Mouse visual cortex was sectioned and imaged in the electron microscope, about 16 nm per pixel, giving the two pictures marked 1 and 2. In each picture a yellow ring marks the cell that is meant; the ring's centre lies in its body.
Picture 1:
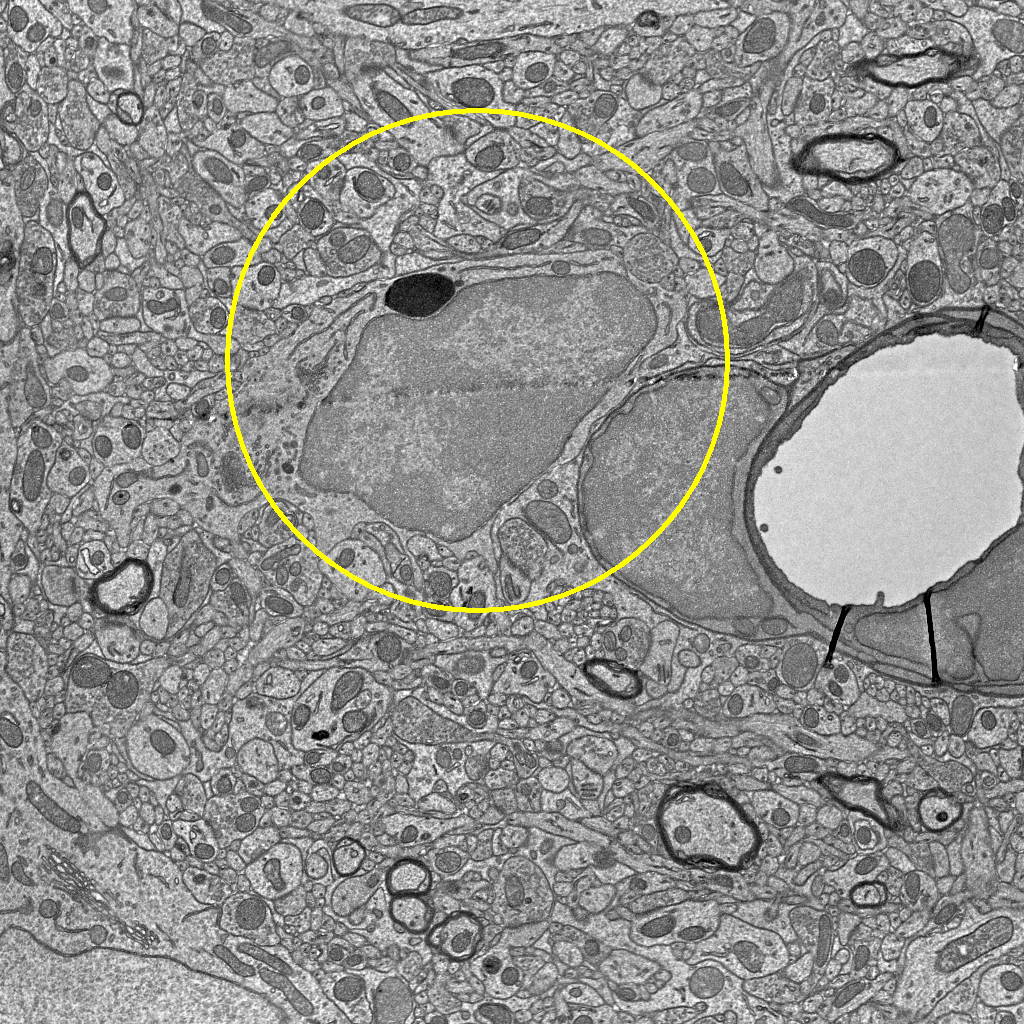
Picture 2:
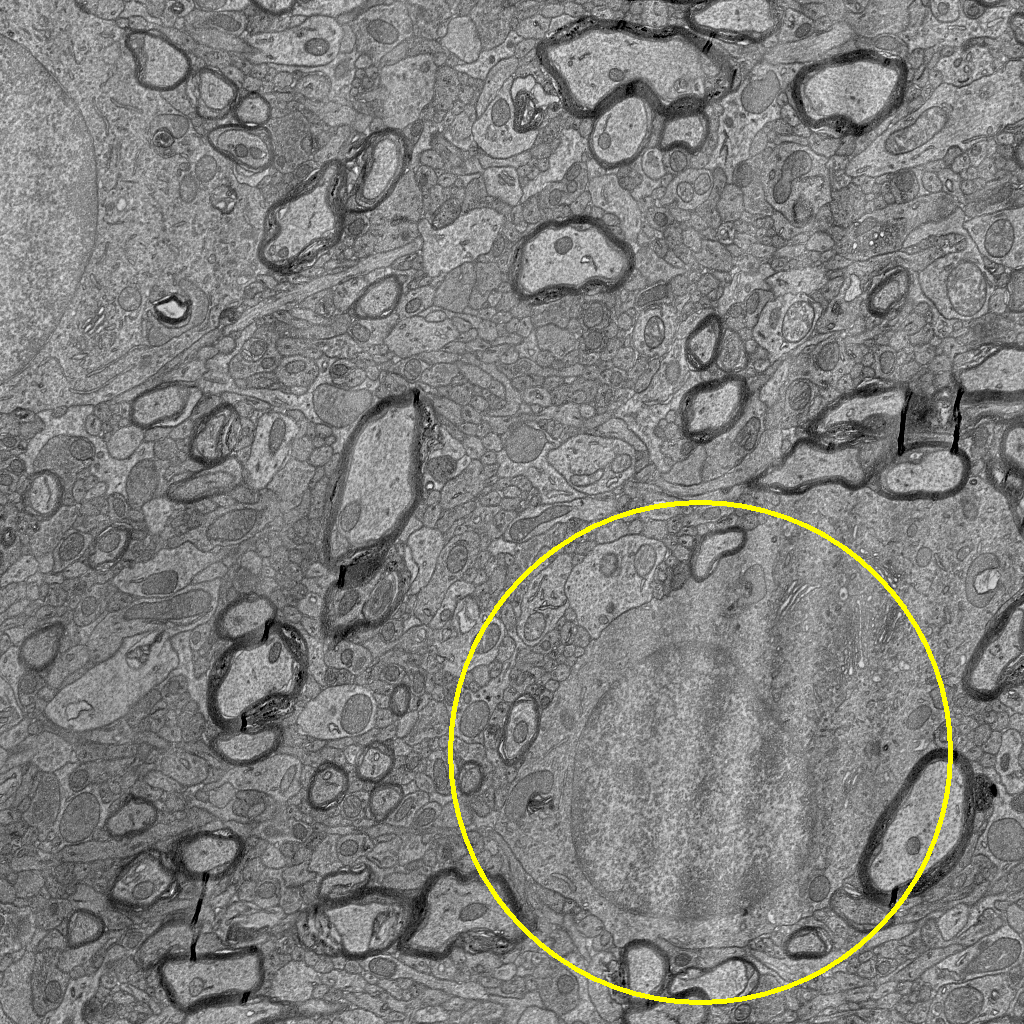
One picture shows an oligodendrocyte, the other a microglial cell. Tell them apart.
Picture 1 is of a microglial cell, and picture 2 is of an oligodendrocyte.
